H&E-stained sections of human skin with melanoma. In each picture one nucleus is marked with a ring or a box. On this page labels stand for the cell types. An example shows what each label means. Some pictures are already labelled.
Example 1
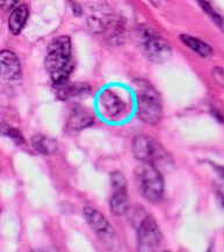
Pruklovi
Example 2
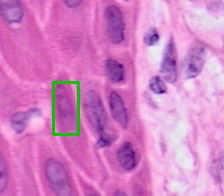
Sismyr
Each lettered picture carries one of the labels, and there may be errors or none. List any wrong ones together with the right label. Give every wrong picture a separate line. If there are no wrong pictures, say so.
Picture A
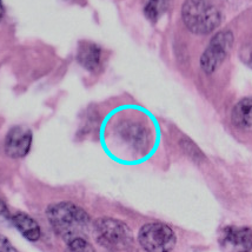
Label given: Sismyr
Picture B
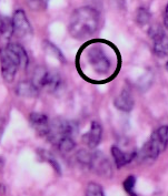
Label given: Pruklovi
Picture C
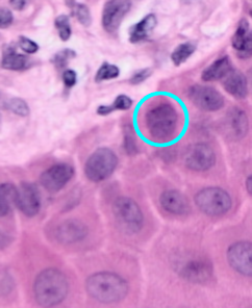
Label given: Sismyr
A is labelled Sismyr; correct label: Pruklovi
